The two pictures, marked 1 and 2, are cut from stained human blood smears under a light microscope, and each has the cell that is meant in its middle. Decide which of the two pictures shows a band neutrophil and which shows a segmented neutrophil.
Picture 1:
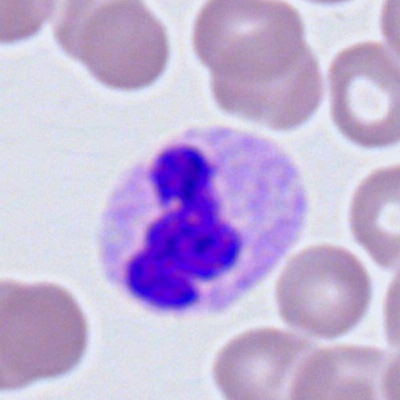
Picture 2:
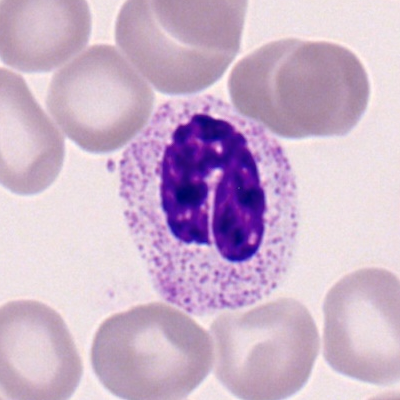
1: segmented neutrophil
2: band neutrophil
